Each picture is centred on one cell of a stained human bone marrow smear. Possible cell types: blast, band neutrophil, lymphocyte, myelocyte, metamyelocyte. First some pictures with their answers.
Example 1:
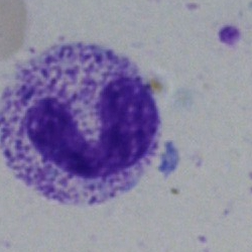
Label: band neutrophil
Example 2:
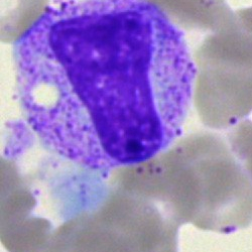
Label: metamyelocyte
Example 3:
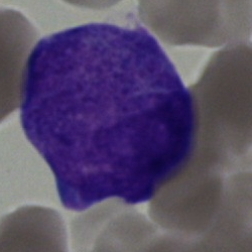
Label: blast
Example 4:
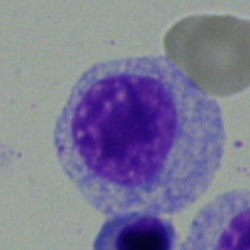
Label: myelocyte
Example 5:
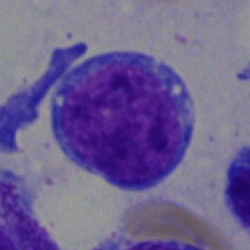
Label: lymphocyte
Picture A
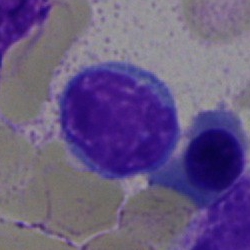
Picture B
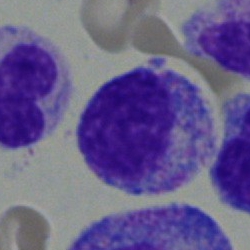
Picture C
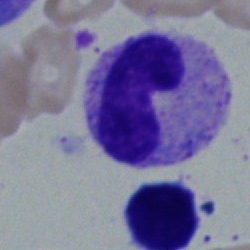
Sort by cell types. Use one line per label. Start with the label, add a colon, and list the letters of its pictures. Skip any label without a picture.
band neutrophil: C
lymphocyte: A
myelocyte: B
